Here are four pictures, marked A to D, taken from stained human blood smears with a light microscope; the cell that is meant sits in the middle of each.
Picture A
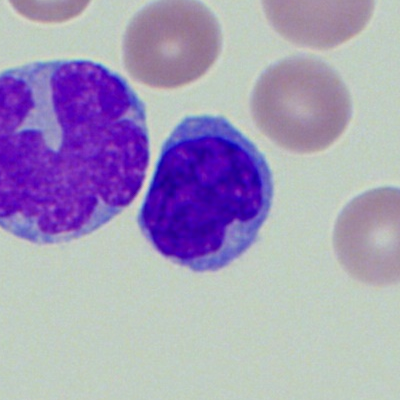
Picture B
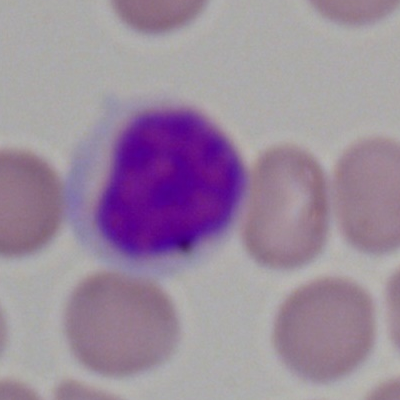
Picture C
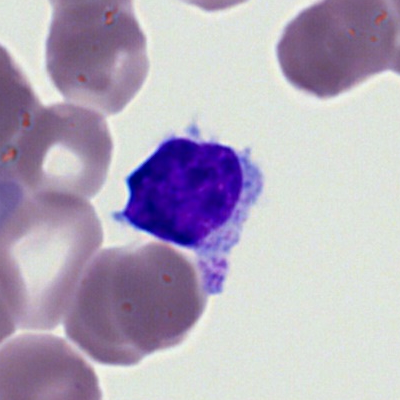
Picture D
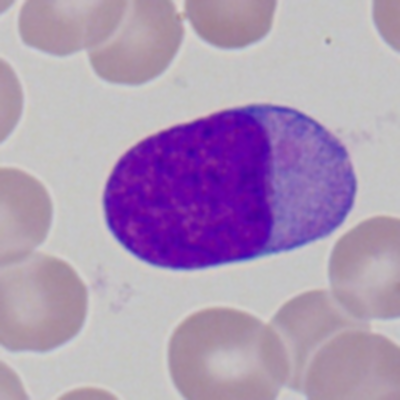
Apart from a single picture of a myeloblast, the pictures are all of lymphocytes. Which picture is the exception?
D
